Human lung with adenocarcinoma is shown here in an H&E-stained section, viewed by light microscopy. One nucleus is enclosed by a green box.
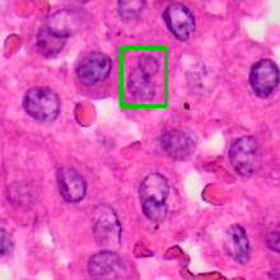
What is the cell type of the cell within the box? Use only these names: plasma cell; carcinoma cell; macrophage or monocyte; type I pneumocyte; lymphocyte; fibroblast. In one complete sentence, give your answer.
It is as a macrophage or monocyte that the cell within the box is recorded.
